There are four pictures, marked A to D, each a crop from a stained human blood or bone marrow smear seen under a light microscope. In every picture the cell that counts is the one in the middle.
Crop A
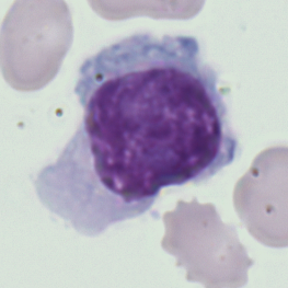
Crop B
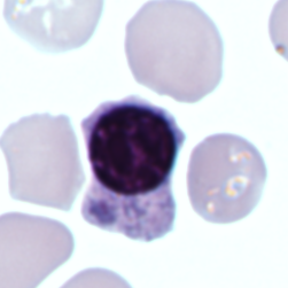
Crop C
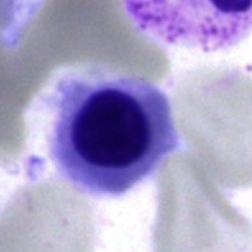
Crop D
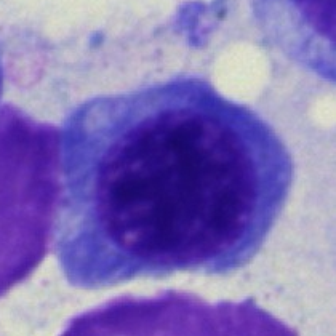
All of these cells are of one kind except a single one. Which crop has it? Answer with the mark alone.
A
